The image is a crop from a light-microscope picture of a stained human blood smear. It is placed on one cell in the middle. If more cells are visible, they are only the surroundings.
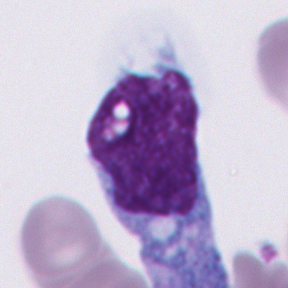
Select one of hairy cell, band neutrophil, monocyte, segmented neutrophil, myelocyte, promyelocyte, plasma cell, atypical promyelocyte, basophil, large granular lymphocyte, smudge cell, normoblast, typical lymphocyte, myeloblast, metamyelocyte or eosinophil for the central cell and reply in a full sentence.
Present in the middle of the crop is a monocyte.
